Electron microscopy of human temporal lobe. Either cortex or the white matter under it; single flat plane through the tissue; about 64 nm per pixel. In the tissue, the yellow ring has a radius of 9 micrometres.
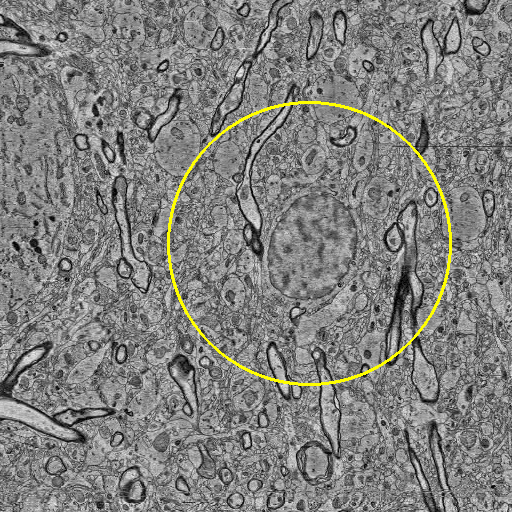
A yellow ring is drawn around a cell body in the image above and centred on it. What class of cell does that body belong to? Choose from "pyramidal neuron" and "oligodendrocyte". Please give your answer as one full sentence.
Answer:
The yellow ring above is centred on the cell body of an oligodendrocyte.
